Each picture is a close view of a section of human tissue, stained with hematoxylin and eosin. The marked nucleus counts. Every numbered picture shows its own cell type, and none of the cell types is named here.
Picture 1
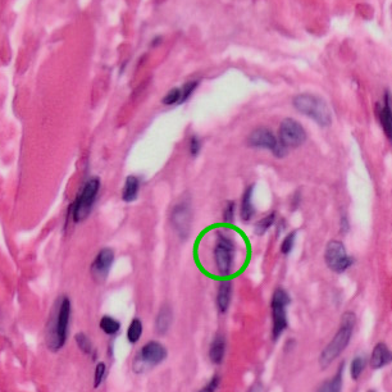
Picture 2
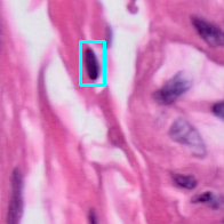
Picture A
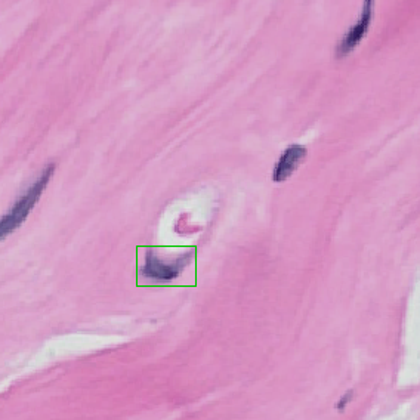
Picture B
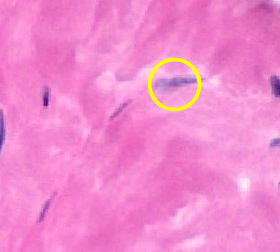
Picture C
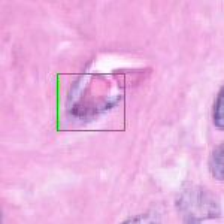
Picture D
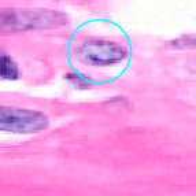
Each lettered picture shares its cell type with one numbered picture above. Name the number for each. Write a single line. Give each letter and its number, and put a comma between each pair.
A 1, B 2, C 1, D 1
